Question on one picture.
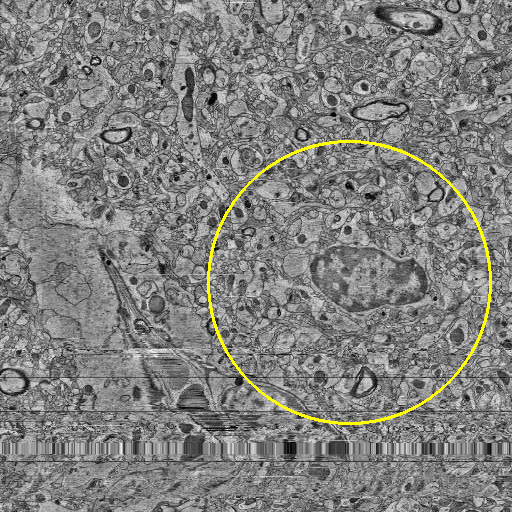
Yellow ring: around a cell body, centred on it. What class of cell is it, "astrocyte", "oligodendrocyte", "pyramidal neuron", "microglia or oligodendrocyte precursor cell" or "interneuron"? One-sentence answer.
This is a microglial cell or oligodendrocyte precursor cell, the cell the ring is centred on.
